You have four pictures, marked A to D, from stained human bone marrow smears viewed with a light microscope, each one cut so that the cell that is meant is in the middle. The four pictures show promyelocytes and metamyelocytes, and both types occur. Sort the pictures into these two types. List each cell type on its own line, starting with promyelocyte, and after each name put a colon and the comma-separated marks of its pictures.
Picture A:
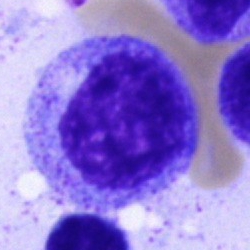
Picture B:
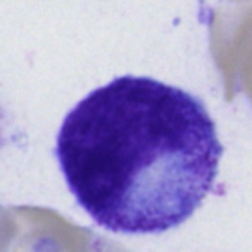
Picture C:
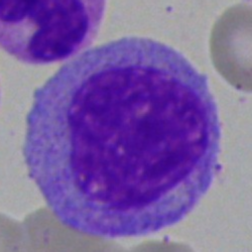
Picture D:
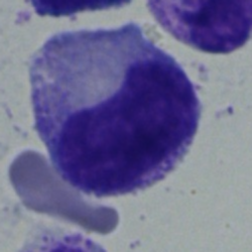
promyelocyte: A, B, C
metamyelocyte: D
